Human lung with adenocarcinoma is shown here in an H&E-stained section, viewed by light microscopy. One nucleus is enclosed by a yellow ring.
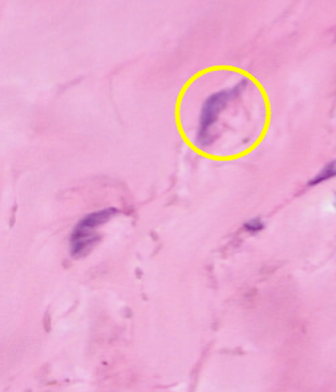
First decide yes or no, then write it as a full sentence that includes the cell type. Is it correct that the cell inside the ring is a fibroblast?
Yes, the cell inside the ring is properly regarded as a fibroblast.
